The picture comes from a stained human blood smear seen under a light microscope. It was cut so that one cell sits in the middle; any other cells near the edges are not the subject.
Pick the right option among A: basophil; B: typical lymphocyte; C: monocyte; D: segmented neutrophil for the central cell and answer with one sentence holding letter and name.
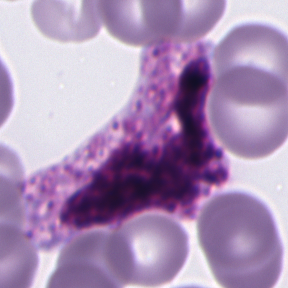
The cell at the centre, correctly named in option A, is a basophil.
